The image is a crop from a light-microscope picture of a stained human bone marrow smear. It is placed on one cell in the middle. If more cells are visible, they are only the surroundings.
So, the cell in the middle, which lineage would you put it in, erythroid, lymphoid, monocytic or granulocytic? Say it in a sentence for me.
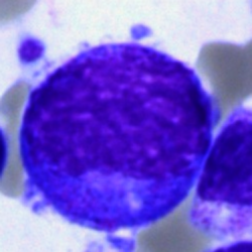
The centered cell is a member of the granulocytic lineage.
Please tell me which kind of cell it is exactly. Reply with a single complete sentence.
At the center of the crop sits a promyelocyte.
